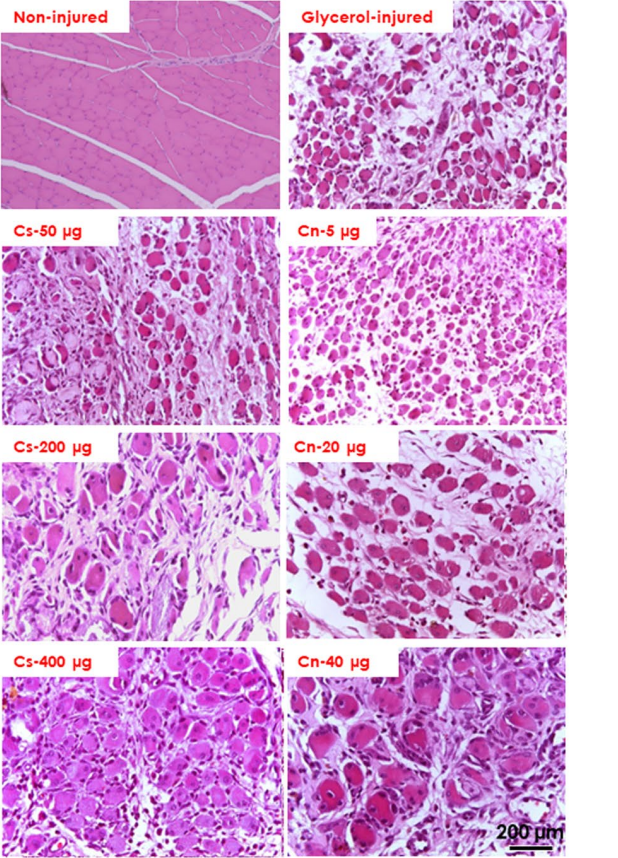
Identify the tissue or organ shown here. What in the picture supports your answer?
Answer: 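Muscle. One image shows large, tightly packed, pink fibres of polygonal cross-section. Those fibres have small nuclei at their edges and thin connective tissue septa between bundles.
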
